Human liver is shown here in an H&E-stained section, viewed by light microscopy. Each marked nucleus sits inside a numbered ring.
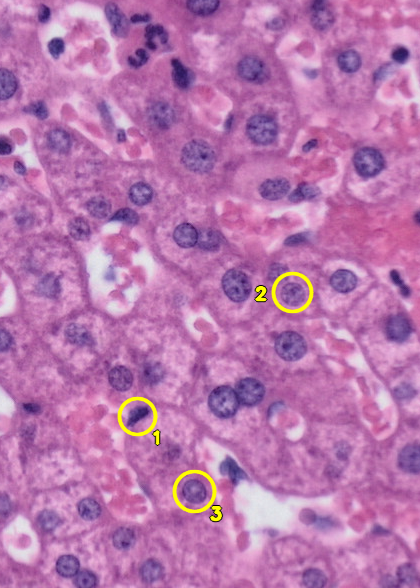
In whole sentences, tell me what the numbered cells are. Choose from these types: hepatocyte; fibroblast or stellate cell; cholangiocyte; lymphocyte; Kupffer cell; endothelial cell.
Cell 1 is a fibroblast or stellate cell, cell 2 is a hepatocyte and cell 3 is a hepatocyte.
